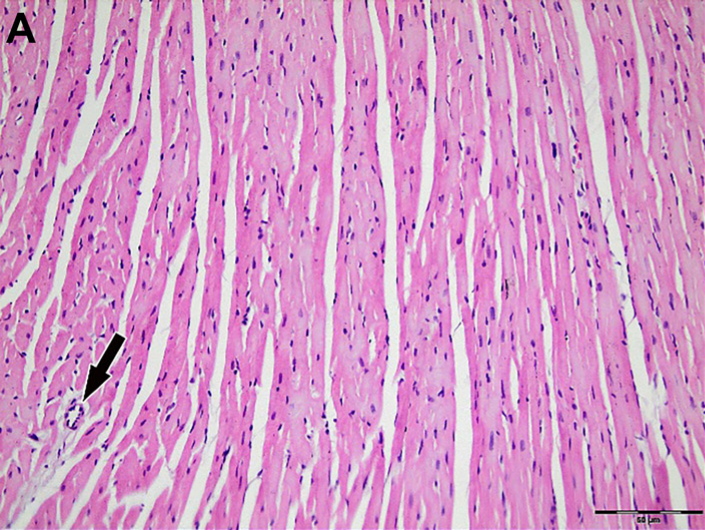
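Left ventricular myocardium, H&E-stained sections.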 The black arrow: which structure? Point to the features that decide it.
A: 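A small round profile with a thin wall lined by flat nuclei lies among the muscle fibres. The profile is much smaller in cross-section than the surrounding fibres are long. So: intramyocardial blood vessels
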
